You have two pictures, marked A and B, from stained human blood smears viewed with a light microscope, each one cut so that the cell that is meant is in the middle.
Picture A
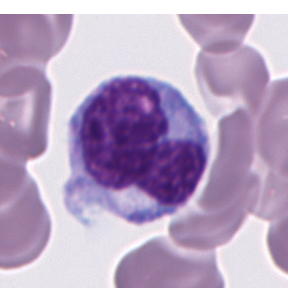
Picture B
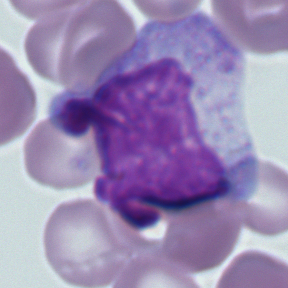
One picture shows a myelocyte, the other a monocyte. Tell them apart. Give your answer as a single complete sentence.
In picture A the cell is a monocyte; in picture B, a myelocyte.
